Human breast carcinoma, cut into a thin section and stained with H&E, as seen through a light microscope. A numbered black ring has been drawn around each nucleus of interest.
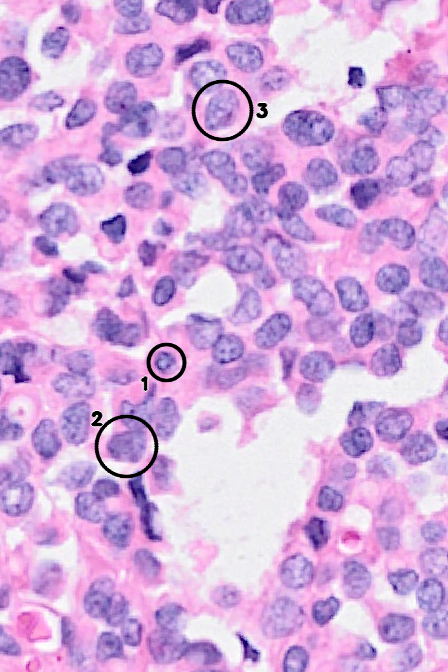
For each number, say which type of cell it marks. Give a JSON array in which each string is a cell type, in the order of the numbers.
["endothelial cell", "carcinoma cell", "carcinoma cell"]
